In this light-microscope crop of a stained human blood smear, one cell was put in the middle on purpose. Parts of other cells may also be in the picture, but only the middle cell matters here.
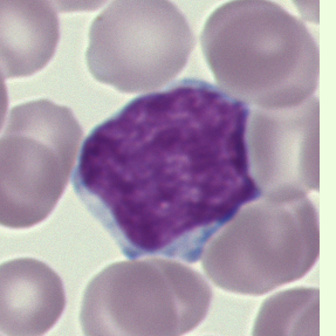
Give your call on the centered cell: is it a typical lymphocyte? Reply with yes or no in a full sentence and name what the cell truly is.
Yes, the cell shown at the crop's centre is a typical lymphocyte.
